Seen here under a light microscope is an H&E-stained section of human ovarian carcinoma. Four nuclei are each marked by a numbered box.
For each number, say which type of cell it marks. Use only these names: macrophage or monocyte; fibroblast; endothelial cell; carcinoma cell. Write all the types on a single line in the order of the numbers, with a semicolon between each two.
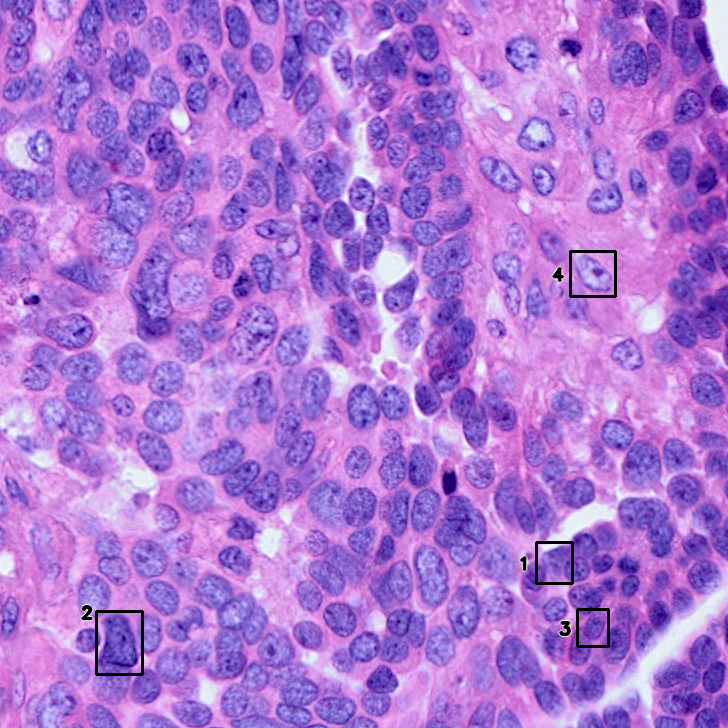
carcinoma cell; carcinoma cell; carcinoma cell; fibroblast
